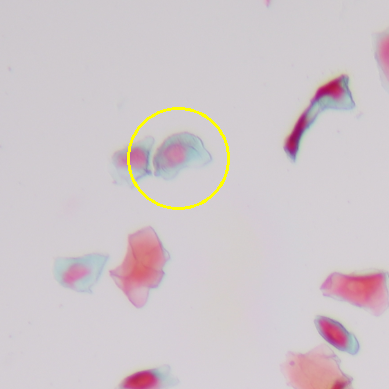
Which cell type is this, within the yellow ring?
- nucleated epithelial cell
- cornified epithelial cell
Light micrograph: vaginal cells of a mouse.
Within the ring is a nucleated epithelial cell.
